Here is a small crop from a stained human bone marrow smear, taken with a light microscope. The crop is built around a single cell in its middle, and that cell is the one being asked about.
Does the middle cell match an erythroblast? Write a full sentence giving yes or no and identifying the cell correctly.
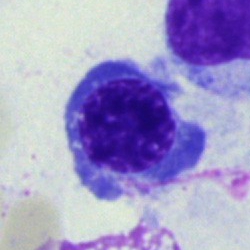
Yes, the middle cell is classified as an erythroblast.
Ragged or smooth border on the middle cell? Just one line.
Seen at its edge, the cell is not smooth but ragged or projecting.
